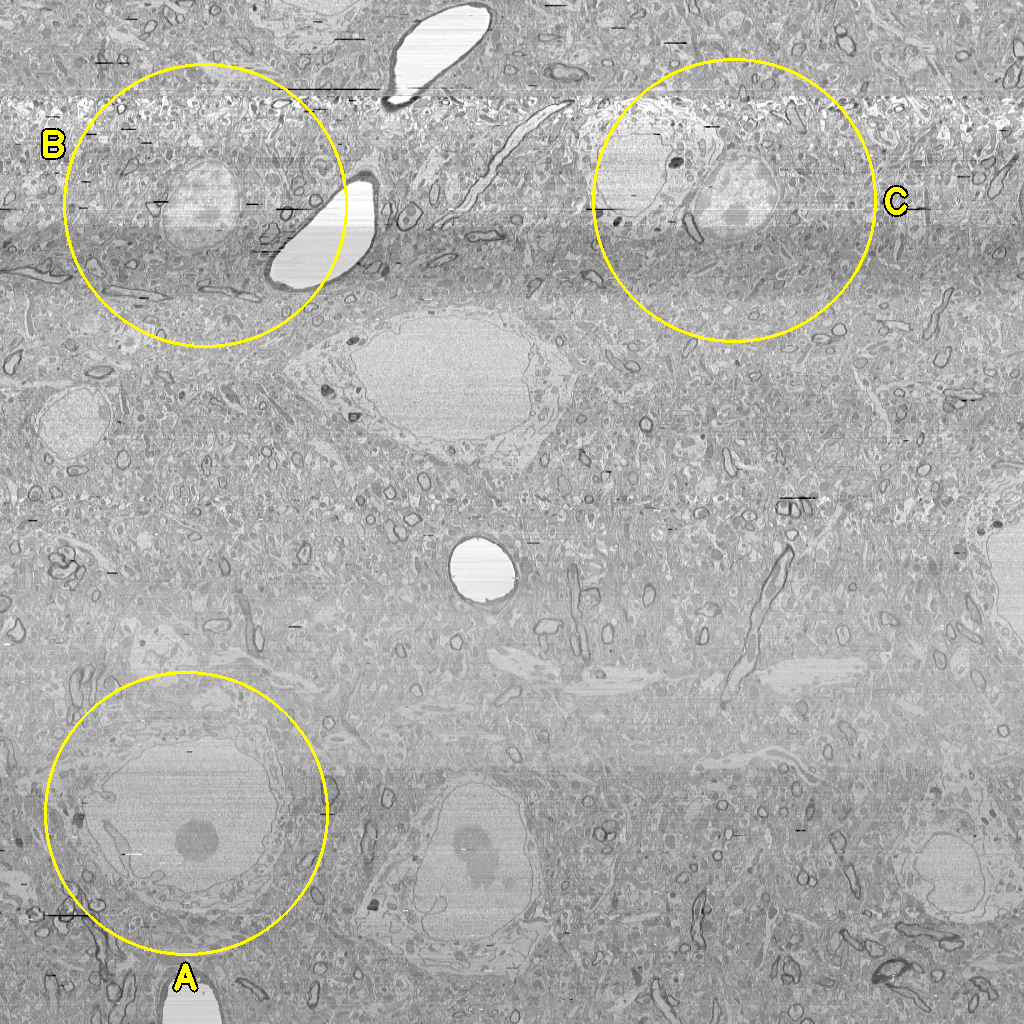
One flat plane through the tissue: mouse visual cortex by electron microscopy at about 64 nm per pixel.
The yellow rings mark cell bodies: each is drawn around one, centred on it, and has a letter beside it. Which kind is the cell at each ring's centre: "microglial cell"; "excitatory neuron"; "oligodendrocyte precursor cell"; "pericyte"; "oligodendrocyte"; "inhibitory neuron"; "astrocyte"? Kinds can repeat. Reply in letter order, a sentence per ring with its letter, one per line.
At the centre of ring A lies an excitatory neuron.
At the centre of ring B lies an oligodendrocyte.
At the centre of ring C lies an oligodendrocyte.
